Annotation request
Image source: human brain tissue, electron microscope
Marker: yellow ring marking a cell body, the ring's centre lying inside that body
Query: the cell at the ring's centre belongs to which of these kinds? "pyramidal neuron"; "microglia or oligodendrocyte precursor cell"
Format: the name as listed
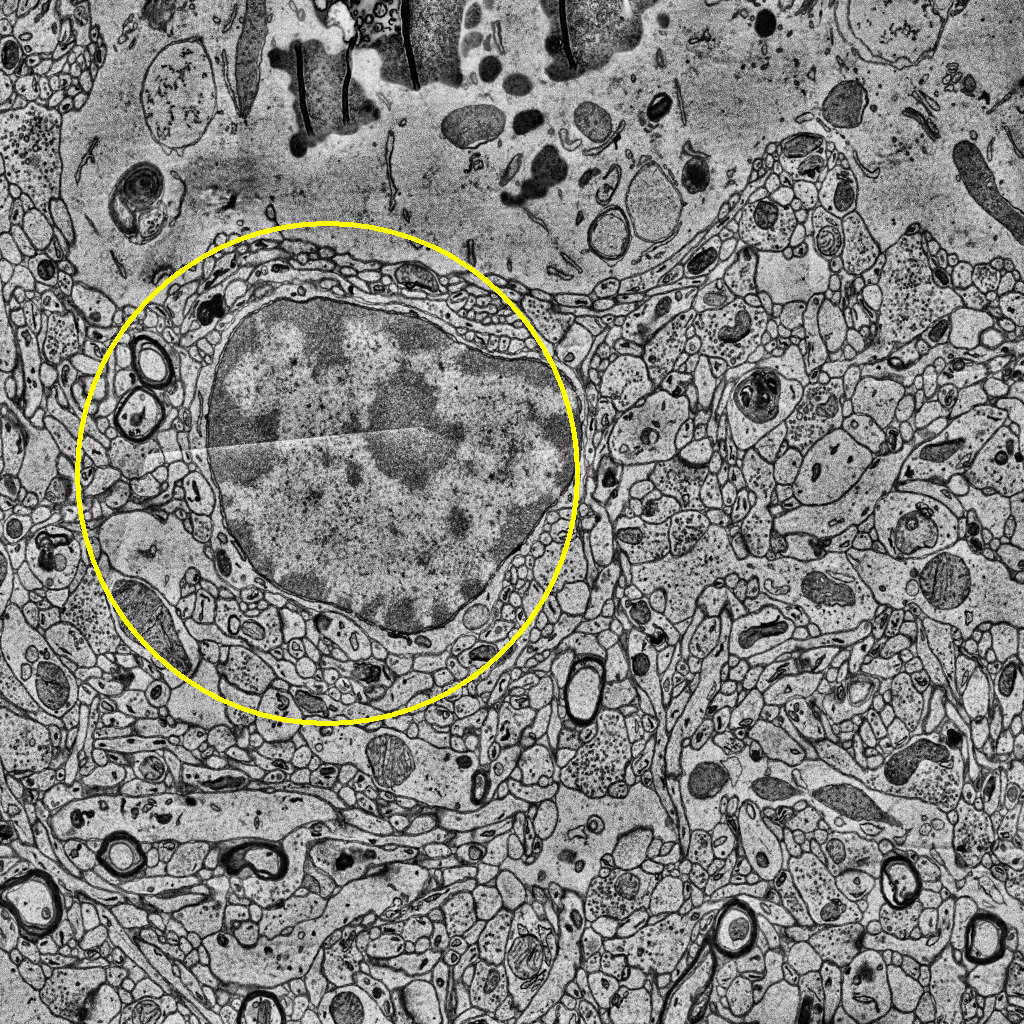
microglia or oligodendrocyte precursor cell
